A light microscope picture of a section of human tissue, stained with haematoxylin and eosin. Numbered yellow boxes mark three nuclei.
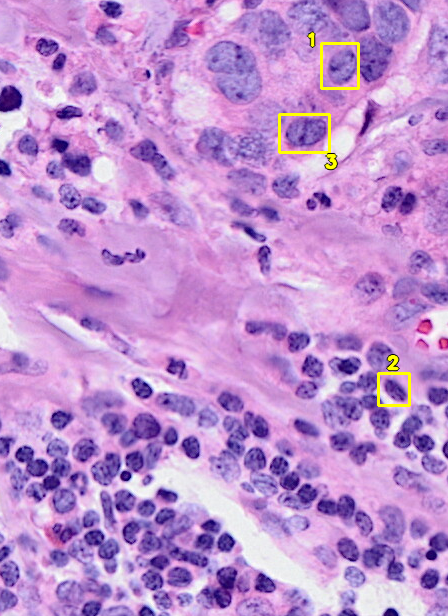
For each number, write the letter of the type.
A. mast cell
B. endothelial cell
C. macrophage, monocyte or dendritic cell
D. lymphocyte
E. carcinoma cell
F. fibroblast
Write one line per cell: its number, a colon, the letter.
1: E
2: D
3: E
